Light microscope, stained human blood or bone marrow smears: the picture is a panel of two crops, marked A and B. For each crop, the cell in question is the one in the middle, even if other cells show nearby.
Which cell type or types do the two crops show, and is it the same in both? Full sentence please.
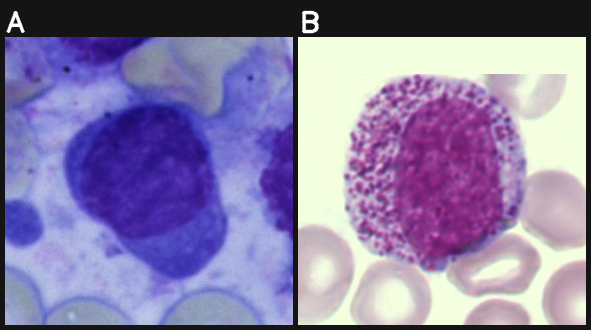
No, sorry, crop A shows a plasma cell and crop B shows a promyelocyte.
